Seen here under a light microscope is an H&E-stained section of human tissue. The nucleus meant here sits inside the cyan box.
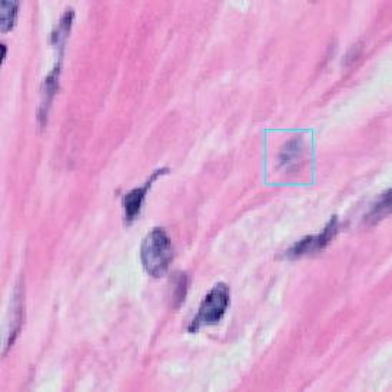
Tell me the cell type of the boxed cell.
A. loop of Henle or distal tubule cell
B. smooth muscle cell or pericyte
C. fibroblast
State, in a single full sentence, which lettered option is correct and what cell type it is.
On this slide, the boxed cell is a fibroblast, so option C is right.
